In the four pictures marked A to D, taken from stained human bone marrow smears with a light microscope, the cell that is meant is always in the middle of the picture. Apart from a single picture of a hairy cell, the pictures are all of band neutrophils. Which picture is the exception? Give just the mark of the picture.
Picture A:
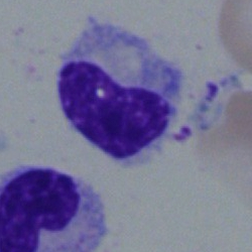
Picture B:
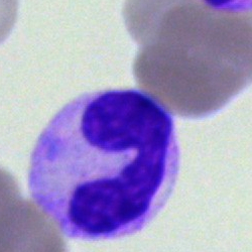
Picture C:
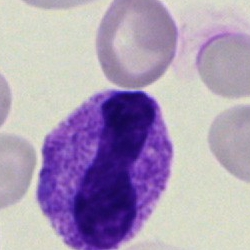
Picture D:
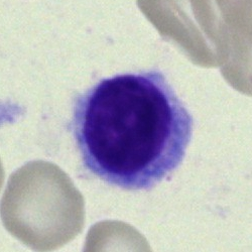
D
